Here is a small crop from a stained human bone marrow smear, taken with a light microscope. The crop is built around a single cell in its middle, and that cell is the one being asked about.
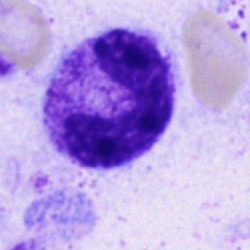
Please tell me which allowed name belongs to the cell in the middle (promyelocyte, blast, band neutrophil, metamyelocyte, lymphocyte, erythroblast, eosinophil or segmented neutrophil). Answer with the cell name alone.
band neutrophil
